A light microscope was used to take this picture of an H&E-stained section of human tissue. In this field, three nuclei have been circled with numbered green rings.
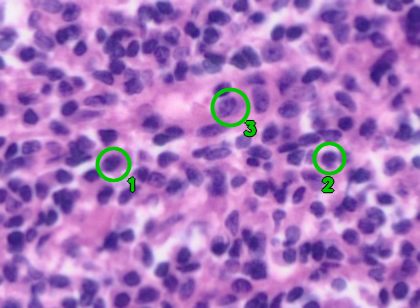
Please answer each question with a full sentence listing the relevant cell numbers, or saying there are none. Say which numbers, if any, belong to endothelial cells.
Among the numbered nuclei, only the one labelled 3 belongs to an endothelial cell.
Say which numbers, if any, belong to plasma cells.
Cell number 1 alone is a plasma cell; the rest are not.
